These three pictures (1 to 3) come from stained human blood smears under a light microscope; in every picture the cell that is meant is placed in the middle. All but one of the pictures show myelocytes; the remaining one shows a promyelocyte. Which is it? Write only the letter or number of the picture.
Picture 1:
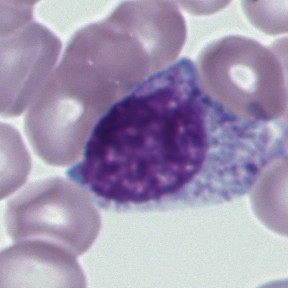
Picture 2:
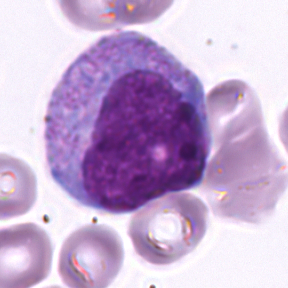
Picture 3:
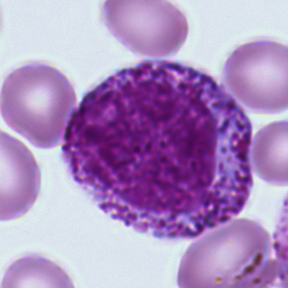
2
